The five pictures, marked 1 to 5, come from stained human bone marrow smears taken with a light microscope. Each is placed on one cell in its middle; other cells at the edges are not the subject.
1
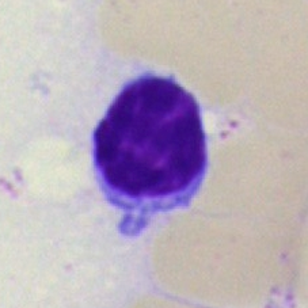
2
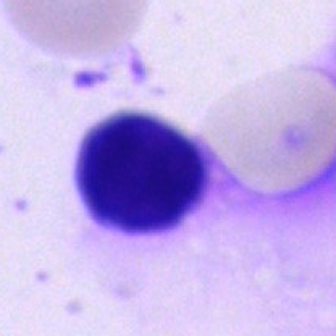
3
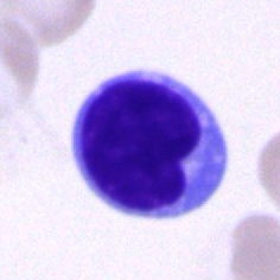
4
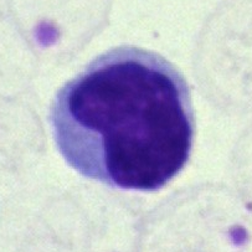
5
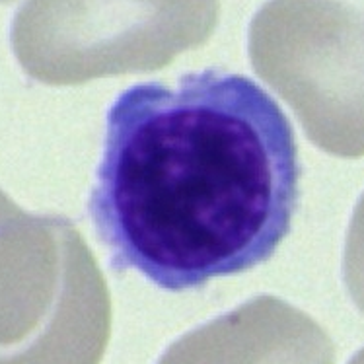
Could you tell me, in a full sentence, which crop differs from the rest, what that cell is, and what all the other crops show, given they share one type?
Here the outlier is crop 5, which is an erythroblast, and the rest are lymphocytes.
